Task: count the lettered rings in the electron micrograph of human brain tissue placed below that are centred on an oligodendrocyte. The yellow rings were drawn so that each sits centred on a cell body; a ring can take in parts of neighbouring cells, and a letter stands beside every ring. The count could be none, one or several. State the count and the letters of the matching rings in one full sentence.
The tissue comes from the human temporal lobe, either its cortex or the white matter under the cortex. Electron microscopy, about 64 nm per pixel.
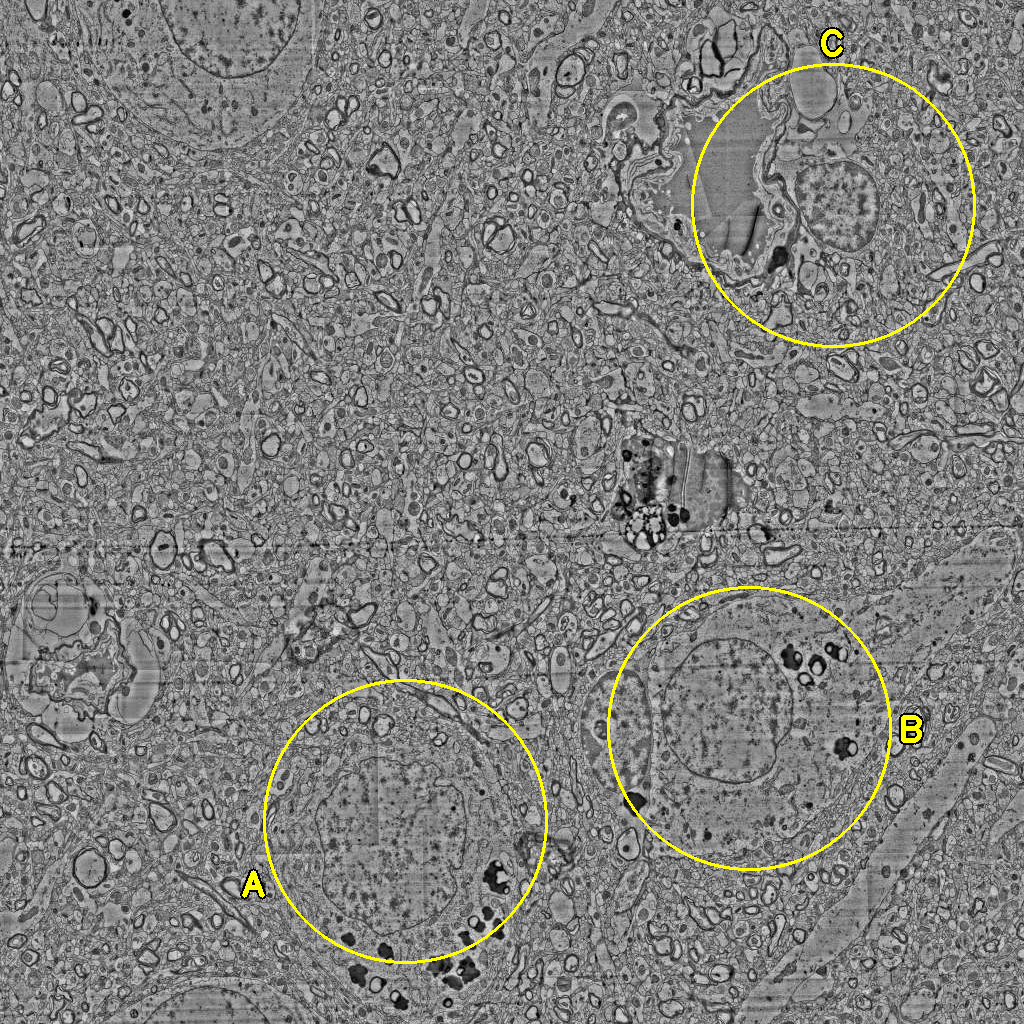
Only one of the rings is centred on an oligodendrocyte, and that particular ring is labelled C.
